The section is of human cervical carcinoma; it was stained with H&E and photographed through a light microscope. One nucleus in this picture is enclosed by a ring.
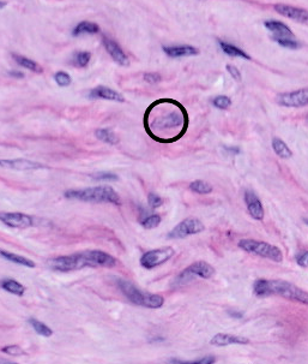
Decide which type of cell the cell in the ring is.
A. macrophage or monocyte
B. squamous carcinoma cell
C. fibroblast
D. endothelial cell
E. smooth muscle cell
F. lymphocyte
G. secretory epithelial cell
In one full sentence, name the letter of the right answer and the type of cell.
Given that the cell in the ring is a smooth muscle cell, option E is the correct one.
